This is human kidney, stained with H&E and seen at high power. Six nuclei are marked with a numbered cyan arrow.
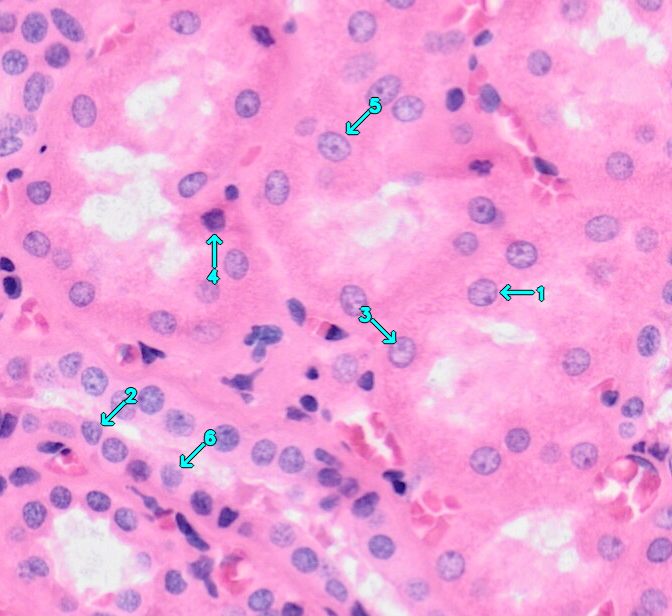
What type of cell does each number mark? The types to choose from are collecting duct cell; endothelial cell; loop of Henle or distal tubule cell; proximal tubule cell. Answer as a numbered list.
1. proximal tubule cell
2. collecting duct cell
3. proximal tubule cell
4. proximal tubule cell
5. proximal tubule cell
6. collecting duct cell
